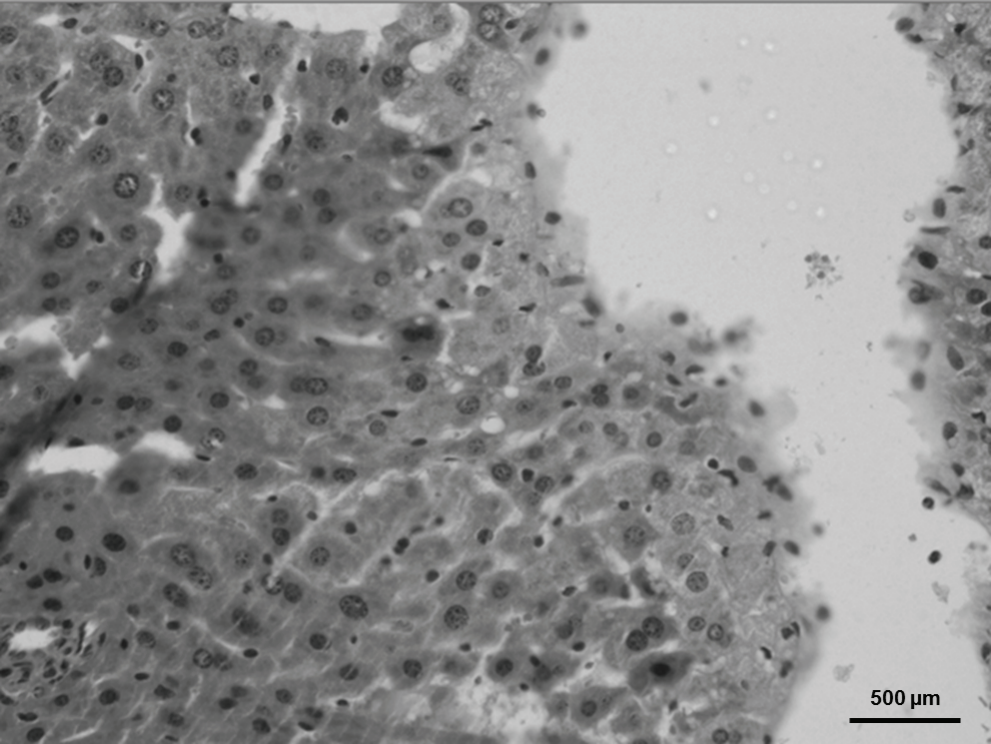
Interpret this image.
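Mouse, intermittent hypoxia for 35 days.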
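This section of liver shows hepatocytes arranged in plates separated by narrow sinusoidal clefts. The hepatocytes are large and polygonal, with round central nuclei that have dispersed chromatin and distinct nucleoli, and some cells have two nuclei. A few small round clear vacuoles lie in the cytoplasm of some hepatocytes, and some cells look pale and swollen. Small dark, elongated or irregular nuclei of non-parenchymal cells are scattered along the sinusoids and at the frayed tissue edge beside an empty space.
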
